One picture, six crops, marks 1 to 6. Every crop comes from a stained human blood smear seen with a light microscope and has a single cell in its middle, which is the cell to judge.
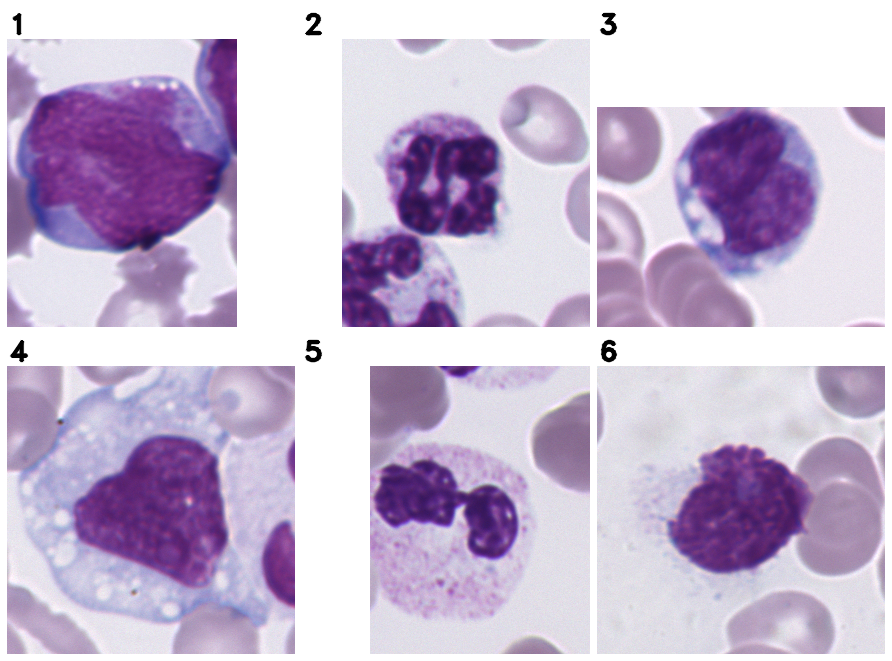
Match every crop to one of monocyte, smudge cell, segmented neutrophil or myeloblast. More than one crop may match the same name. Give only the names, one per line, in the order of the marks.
myeloblast
segmented neutrophil
monocyte
monocyte
segmented neutrophil
smudge cell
